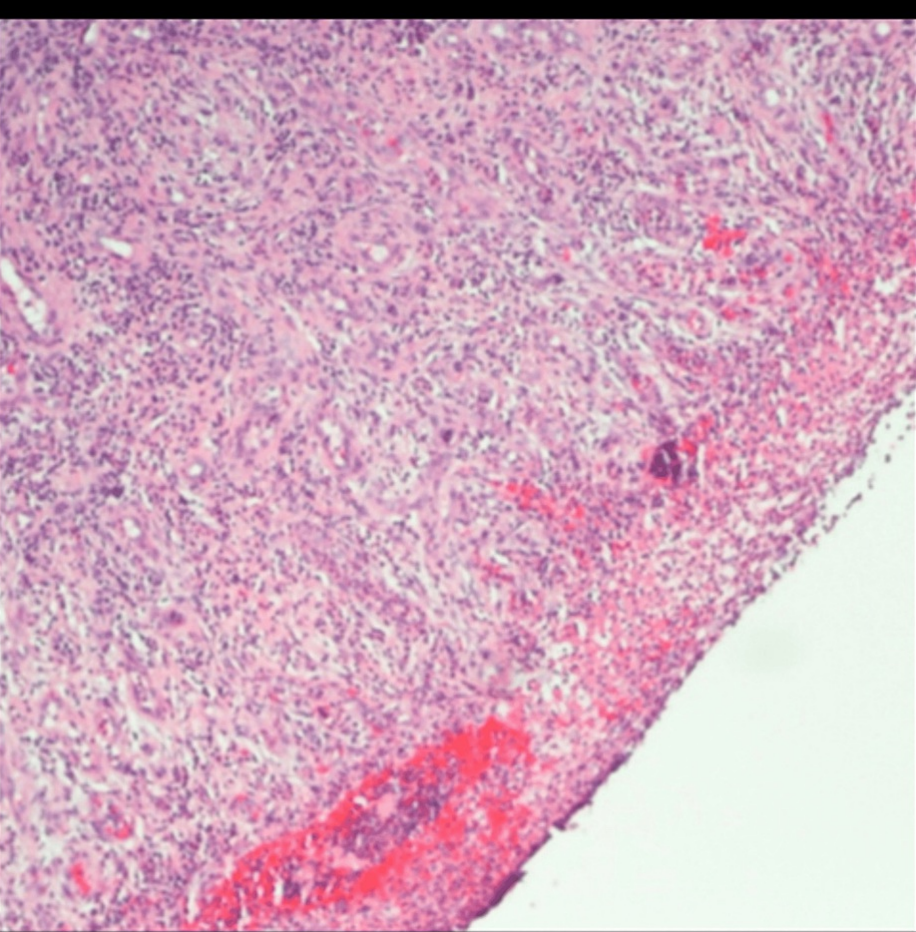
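At low power, a pink, loosely fibrous stroma is crowded with many small cells with dark purple nuclei, lying between streaming strands of connective tissue with scattered small vessels. Toward the lower right edge, bright red extravasated blood lies beneath the surface, and a small dark purple clump sits in the stroma. The whole picture is that of a dense inflammatory infiltrate in connective tissue.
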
